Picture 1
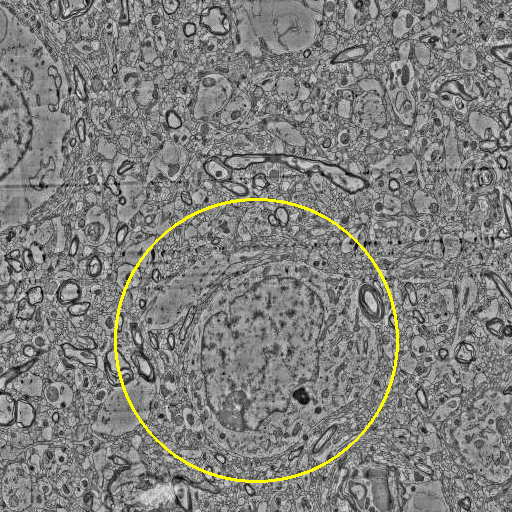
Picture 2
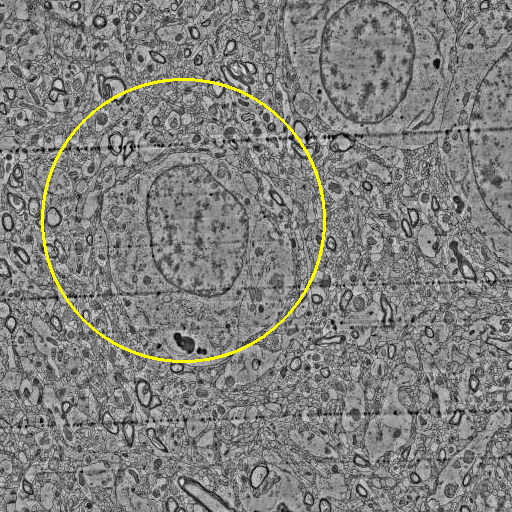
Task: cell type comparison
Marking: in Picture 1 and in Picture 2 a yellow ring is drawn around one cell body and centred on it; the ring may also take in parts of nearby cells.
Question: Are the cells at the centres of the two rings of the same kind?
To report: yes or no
no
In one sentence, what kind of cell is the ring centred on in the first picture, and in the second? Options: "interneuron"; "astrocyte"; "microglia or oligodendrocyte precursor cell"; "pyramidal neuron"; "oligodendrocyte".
The cell at the centre of the second ring is a pyramidal neuron; the first ring's cell is an interneuron.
